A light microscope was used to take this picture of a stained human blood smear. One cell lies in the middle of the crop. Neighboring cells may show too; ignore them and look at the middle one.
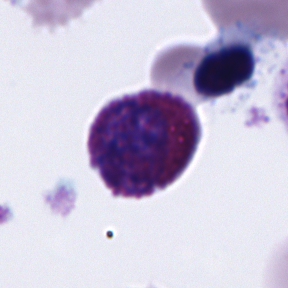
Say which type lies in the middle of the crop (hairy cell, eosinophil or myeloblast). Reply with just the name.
eosinophil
